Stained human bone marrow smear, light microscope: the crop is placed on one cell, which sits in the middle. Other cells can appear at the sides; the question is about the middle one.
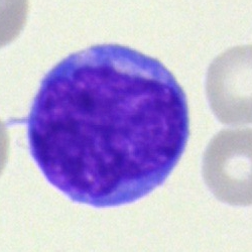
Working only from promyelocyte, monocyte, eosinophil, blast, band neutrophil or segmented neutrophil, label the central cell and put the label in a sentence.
In the middle of this smear crop is a blast.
